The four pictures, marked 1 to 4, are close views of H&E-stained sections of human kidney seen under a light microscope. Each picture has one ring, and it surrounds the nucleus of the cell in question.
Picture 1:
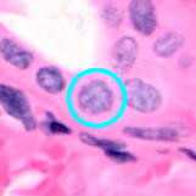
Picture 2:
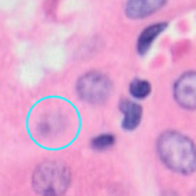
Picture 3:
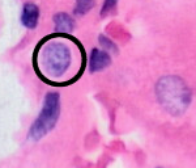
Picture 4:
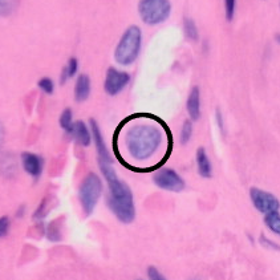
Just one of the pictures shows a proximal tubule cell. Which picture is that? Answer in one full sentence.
It is picture 2 that shows the proximal tubule cell.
